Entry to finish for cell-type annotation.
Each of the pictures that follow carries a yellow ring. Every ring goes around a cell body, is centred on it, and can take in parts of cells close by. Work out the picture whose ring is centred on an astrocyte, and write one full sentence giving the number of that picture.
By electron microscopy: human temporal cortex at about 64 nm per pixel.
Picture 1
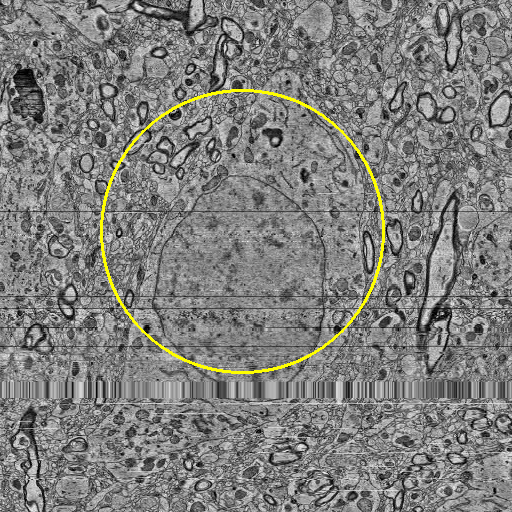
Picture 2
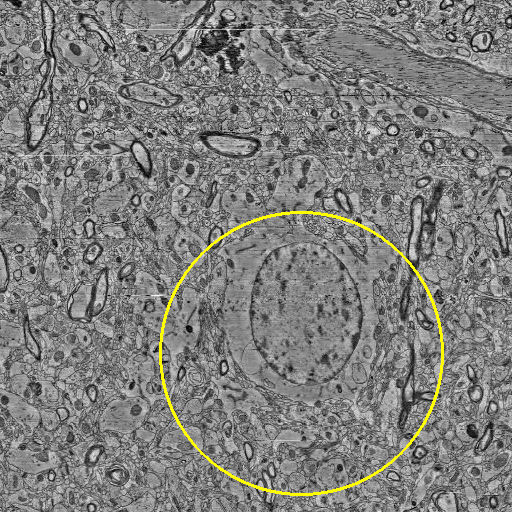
The cell at the heart of the ring in picture 2 matches the request.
